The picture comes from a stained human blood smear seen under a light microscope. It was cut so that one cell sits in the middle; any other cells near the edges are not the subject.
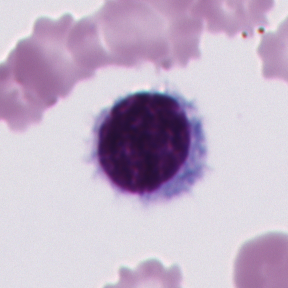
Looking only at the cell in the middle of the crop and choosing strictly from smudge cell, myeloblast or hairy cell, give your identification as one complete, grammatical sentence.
Where the crop is centred, there is a hairy cell.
